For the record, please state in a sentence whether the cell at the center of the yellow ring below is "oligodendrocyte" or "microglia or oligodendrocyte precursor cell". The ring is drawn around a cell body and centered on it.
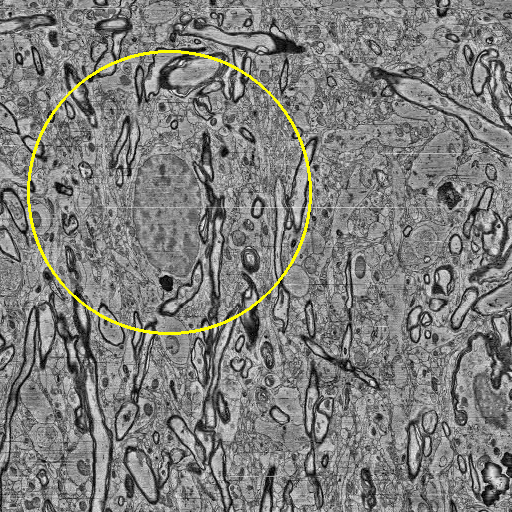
The cell at the ring's center is an oligodendrocyte.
